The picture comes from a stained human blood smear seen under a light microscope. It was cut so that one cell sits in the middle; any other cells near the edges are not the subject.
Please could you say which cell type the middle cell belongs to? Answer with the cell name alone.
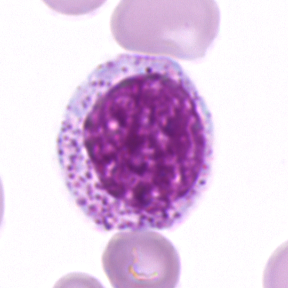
myelocyte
